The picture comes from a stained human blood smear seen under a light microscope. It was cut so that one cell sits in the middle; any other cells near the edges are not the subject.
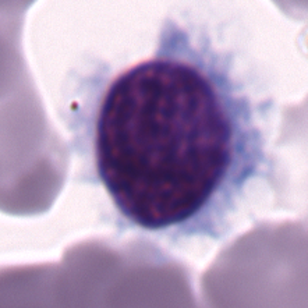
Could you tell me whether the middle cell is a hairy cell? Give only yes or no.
yes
